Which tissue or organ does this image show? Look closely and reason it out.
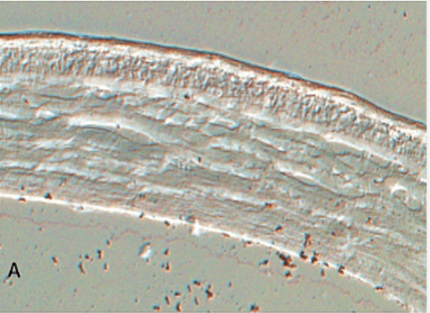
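A curved, thin band of tissue runs across the panel. A more cellular, finely textured layer lies along the outer convex surface. Beneath it are many parallel wavy lamellae. No vessels are visible in the tissue.
Cornea.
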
